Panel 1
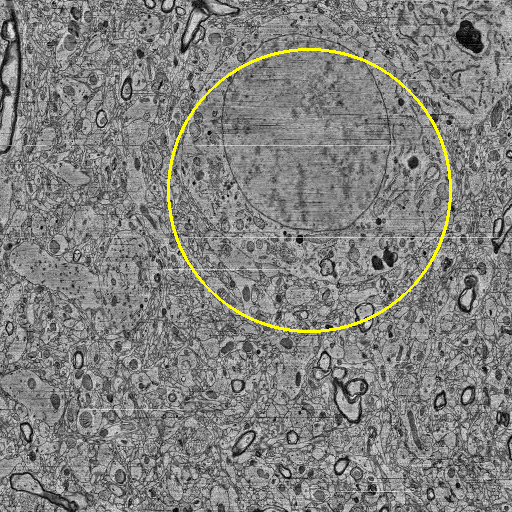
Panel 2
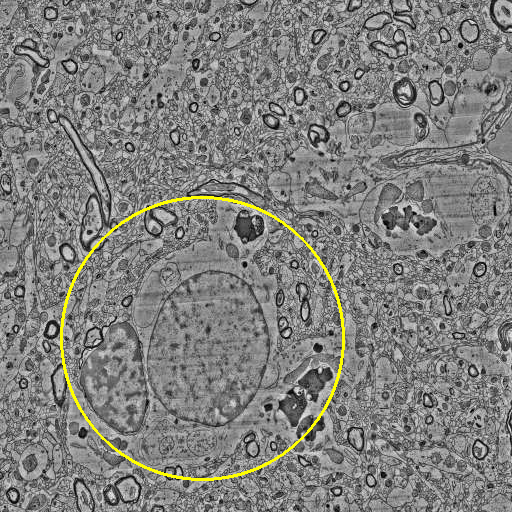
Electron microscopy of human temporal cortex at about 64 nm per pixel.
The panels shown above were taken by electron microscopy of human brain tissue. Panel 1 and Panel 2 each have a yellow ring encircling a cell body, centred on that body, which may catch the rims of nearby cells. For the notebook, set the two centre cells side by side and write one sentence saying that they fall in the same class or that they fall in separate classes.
The centred cells of Panel 1 and Panel 2 fall in separate classes.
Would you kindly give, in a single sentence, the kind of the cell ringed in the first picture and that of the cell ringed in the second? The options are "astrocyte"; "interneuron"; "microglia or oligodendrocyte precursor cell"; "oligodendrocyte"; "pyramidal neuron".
The second cell is an astrocyte, and the first cell is a pyramidal neuron.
